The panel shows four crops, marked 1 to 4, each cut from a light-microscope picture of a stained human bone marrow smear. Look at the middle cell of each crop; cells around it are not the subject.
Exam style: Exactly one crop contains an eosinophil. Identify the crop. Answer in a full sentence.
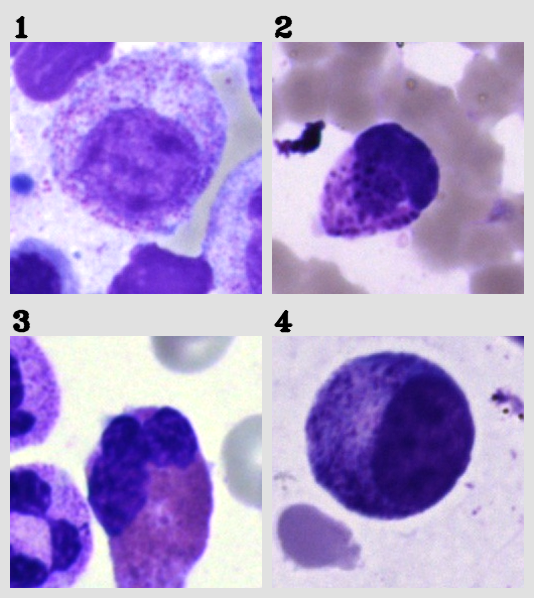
Of the labeled crops, the one with an eosinophil is crop 3.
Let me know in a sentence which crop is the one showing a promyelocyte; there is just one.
The crop marked 4 is the one in which a promyelocyte is shown.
